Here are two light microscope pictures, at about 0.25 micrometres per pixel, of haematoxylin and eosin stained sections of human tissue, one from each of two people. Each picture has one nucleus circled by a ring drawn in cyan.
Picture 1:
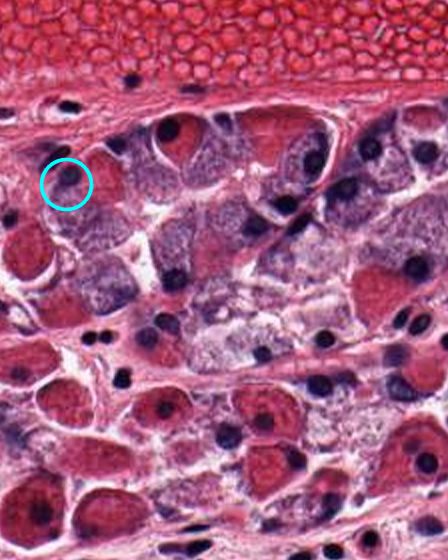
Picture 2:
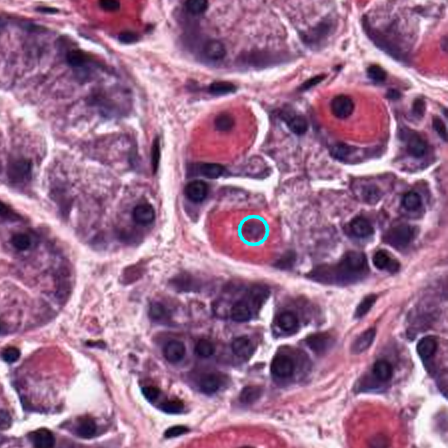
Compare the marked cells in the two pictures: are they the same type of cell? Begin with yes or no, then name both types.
No, the first is a chief cell and the second a parietal cell.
